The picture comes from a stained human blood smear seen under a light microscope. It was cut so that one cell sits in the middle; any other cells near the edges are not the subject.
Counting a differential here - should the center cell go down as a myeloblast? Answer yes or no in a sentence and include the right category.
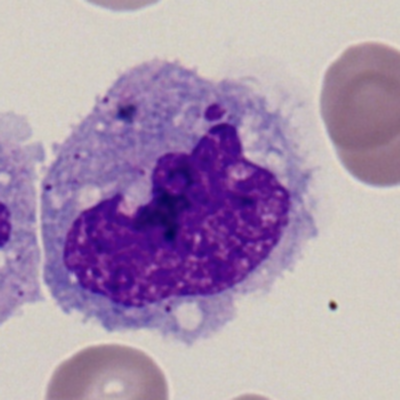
No, the middle of the crop holds a monocyte, not a myeloblast.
